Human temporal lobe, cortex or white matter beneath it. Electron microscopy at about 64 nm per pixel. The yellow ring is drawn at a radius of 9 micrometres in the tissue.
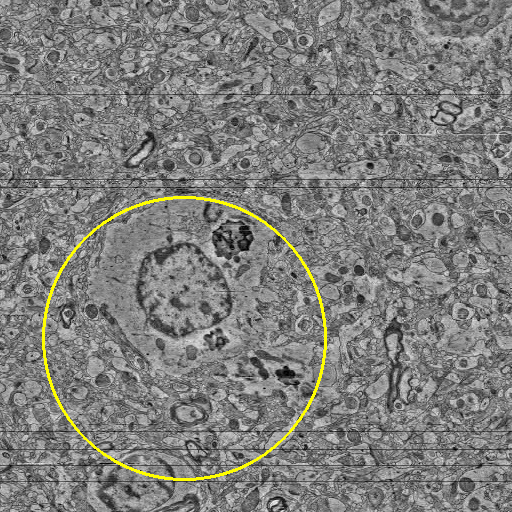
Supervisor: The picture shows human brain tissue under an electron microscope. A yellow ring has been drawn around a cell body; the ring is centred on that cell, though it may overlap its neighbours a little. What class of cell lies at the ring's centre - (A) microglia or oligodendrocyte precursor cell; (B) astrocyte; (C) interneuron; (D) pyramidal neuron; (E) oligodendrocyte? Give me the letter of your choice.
B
